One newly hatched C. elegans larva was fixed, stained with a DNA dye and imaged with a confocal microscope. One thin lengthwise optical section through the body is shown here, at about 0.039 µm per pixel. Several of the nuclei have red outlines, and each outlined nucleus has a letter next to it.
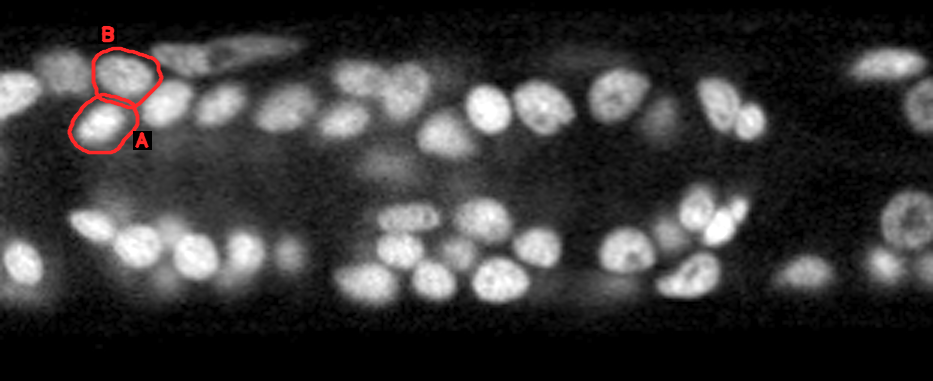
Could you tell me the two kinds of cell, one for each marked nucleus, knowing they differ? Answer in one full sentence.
A is the nucleus of a GLR cell; B is the nucleus of a neuron.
